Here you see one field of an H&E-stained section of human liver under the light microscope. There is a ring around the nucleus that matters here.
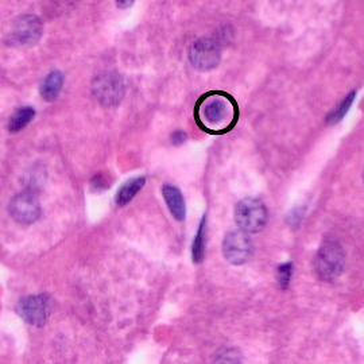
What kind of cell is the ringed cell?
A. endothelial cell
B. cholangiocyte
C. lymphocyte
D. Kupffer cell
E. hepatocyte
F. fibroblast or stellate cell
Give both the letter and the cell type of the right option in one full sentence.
Option C is accurate, for the ringed cell is a lymphocyte.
